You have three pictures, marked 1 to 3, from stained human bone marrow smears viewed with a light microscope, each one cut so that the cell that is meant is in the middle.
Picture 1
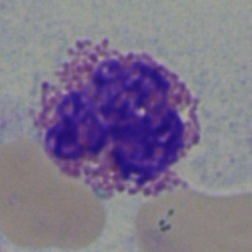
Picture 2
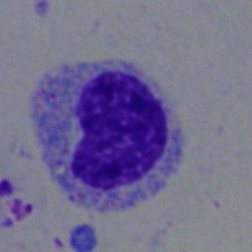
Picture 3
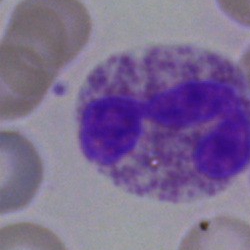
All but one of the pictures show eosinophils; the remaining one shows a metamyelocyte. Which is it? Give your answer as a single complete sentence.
Picture 2 shows the metamyelocyte.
